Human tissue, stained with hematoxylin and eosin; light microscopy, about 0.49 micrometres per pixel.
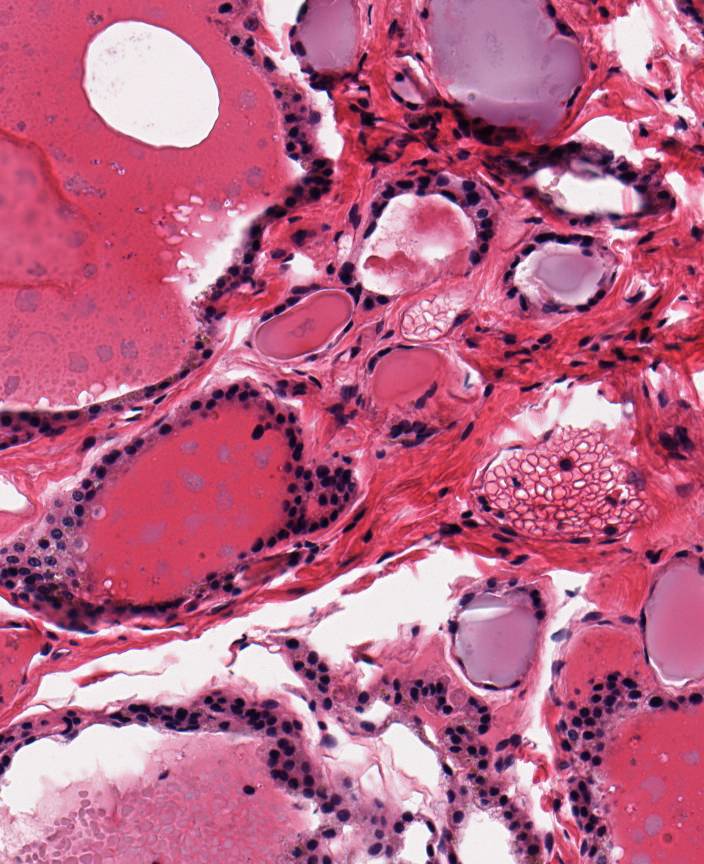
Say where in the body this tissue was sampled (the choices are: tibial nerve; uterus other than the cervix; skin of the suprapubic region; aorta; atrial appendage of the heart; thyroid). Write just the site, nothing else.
thyroid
